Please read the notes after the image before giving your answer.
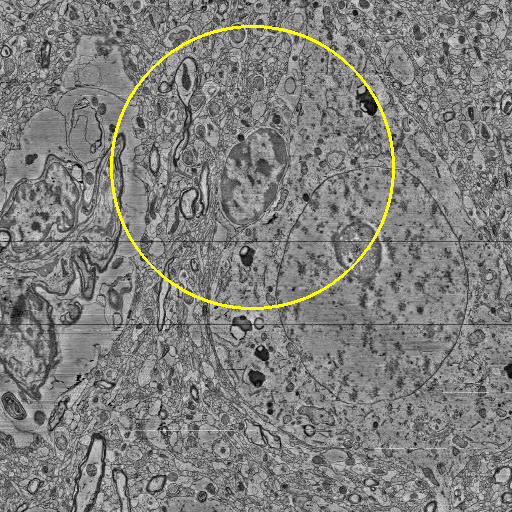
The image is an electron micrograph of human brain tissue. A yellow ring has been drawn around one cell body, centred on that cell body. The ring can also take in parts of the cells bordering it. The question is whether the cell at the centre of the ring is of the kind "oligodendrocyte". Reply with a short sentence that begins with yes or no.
No, the cell at the centre is of another kind.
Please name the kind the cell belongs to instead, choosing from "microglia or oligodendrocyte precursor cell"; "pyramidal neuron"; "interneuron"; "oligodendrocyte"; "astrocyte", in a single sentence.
The ring's central cell is a microglial cell or oligodendrocyte precursor cell instead.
